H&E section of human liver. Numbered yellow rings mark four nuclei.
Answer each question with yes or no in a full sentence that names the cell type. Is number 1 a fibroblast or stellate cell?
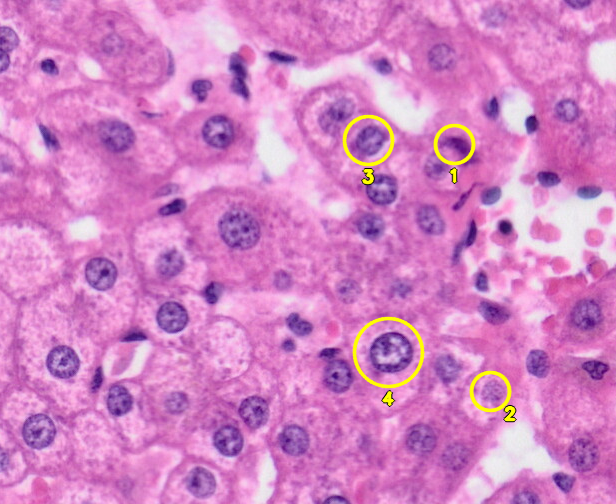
Yes, the cell whose number is 1 is a fibroblast or stellate cell.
